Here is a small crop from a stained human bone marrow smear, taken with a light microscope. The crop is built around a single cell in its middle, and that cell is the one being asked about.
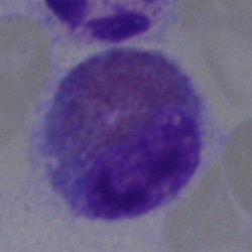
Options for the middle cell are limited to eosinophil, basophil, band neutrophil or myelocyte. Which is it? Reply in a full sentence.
Looking at the middle of the crop, the cell there is an eosinophil.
